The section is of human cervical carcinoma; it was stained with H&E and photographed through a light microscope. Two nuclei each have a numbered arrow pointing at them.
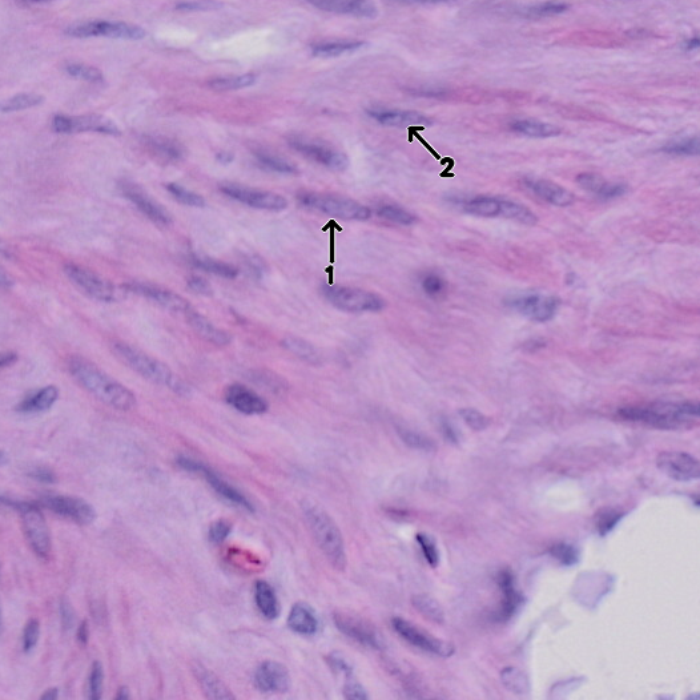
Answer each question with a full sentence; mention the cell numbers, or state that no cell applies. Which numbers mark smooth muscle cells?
Only one of the numbered nuclei, number 1, belongs to a smooth muscle cell.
